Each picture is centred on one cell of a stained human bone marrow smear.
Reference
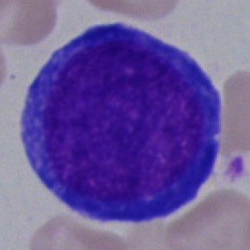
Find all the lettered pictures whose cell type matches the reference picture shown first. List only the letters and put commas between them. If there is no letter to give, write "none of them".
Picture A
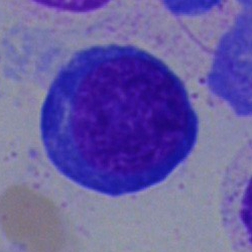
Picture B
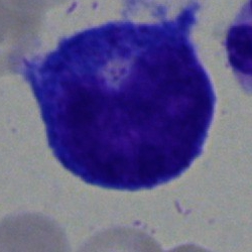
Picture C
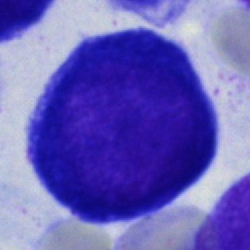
A, C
